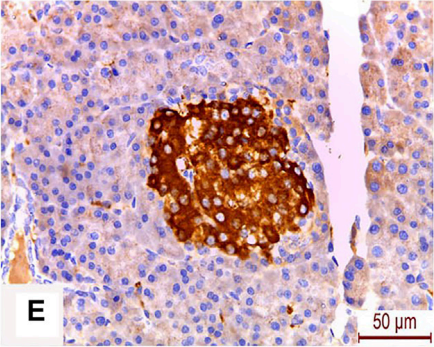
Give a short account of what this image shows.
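Pancreas showing one islet set among exocrine acini beside a narrow vessel or duct space. The islet cells form a rounded cluster with strong brown granular cytoplasm; their nuclei appear as pale round spots within the stain. Staining is dense toward the periphery and slightly lighter centrally. The surrounding acinar cells are pale with blue basal nuclei and only faint background tint. The islet border is fairly sharp against the acinar tissue.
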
